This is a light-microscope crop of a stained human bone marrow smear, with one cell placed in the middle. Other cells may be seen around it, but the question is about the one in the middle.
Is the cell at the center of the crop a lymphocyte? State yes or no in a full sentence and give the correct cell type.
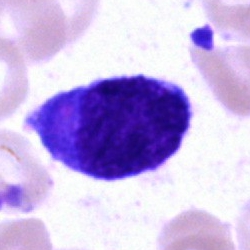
No, in the centre of the crop lies a blast, not a lymphocyte.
